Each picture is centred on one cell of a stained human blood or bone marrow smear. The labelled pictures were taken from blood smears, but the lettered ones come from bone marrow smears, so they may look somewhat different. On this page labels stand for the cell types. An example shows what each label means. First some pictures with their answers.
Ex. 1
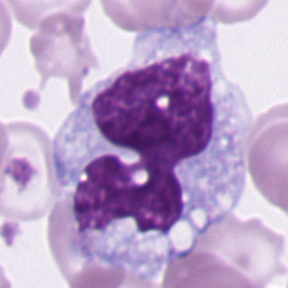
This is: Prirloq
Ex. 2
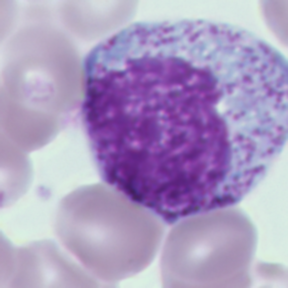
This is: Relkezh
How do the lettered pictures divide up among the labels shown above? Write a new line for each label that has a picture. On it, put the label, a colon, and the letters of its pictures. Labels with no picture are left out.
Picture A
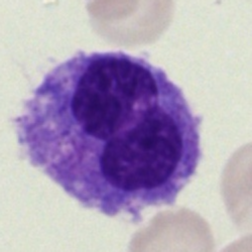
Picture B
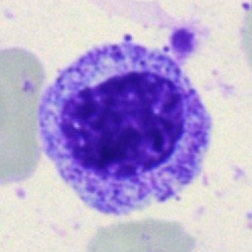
Prirloq: A
Relkezh: B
